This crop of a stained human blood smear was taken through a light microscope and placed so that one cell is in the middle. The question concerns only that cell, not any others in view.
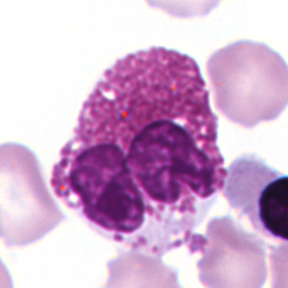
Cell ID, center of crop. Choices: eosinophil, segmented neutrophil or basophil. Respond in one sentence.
In the middle of this smear crop, the cell is an eosinophil.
